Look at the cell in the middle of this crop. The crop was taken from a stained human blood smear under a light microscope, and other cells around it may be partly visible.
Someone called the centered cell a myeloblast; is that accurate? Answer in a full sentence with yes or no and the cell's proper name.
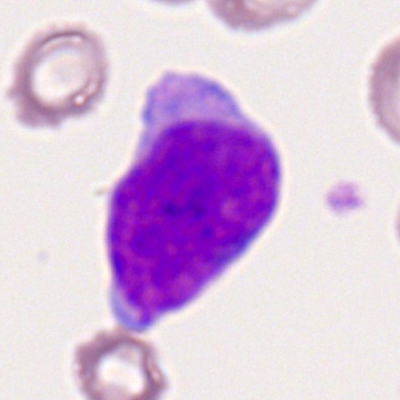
Yes, that middle cell in the crop is a myeloblast.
